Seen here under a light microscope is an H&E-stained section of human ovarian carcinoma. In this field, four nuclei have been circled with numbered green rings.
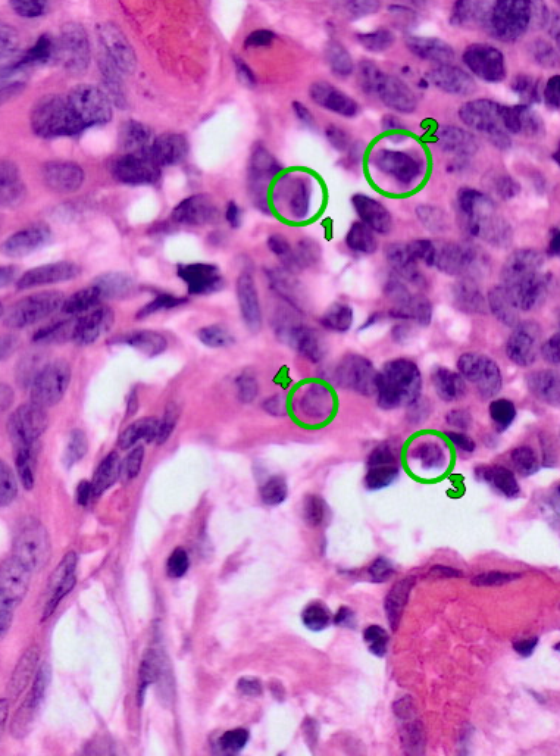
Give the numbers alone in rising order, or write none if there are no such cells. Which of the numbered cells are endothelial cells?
4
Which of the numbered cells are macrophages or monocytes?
none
